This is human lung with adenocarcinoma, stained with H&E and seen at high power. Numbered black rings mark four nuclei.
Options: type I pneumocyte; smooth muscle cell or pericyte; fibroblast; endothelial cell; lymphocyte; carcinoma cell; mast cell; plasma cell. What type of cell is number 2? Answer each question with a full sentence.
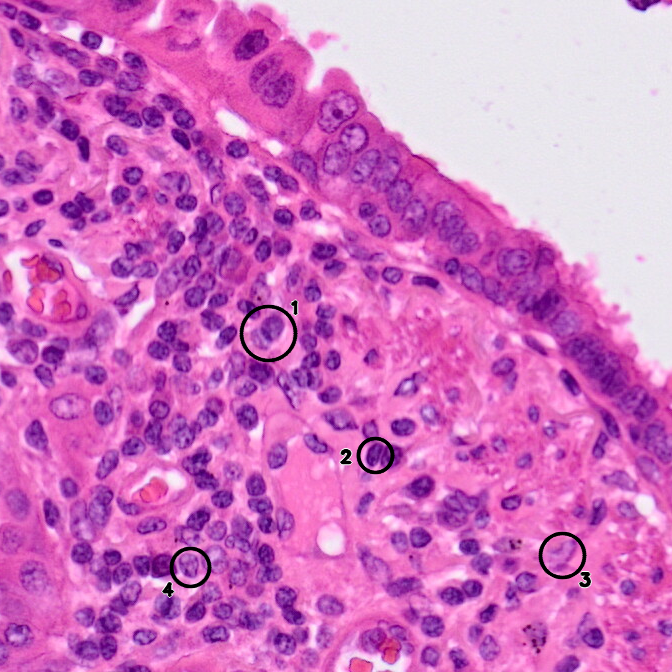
Cell 2 of the marked set is a lymphocyte.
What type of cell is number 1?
Looking at the numbered marks, cell 1 is a lymphocyte.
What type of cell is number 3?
The nucleus with number 3 is that of a fibroblast.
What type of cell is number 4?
Cell 4 should be recorded as a lymphocyte.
